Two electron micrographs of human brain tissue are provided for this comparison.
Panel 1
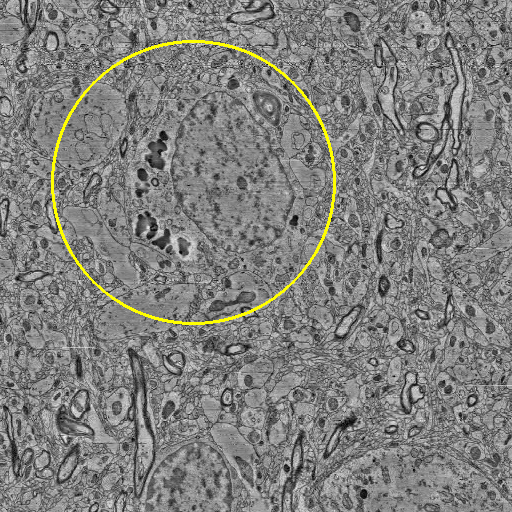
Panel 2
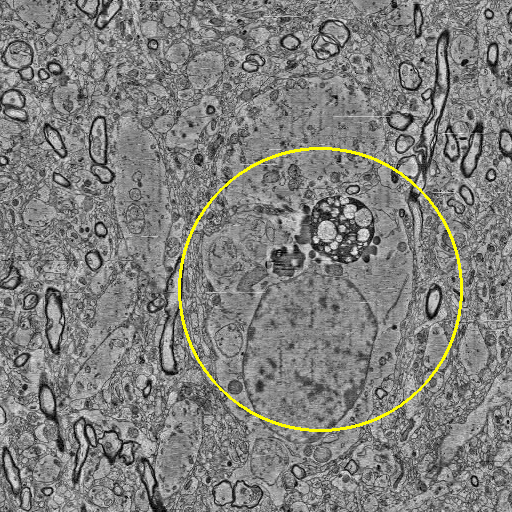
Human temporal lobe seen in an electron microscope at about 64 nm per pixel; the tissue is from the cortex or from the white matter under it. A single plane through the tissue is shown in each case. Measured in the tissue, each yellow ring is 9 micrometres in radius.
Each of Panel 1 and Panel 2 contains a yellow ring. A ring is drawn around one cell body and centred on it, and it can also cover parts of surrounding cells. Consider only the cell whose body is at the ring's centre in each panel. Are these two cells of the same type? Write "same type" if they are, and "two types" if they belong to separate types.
two types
